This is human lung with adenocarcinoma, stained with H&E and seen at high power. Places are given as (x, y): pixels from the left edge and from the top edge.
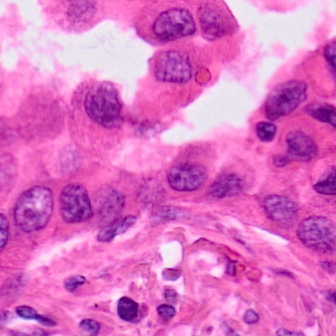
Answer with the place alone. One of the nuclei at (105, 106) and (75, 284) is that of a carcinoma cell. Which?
(105, 106)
